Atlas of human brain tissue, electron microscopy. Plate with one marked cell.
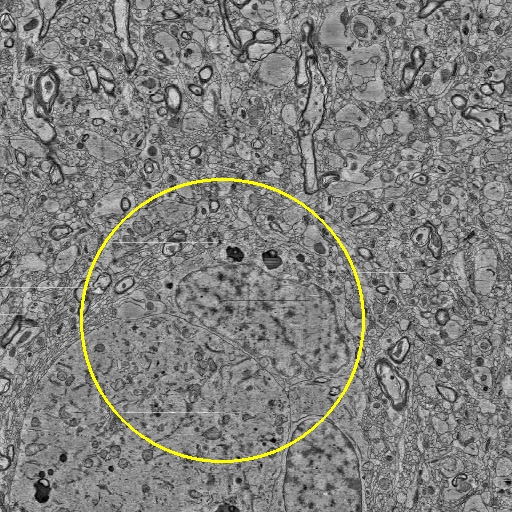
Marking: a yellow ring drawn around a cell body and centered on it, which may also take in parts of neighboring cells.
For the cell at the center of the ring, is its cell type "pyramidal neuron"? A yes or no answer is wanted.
No, its cell type is another one.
